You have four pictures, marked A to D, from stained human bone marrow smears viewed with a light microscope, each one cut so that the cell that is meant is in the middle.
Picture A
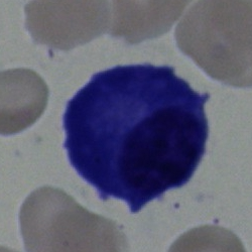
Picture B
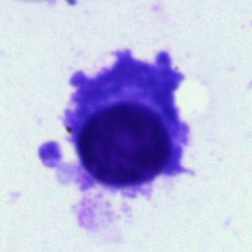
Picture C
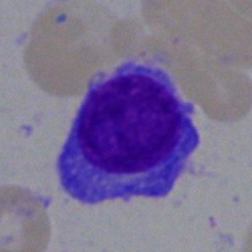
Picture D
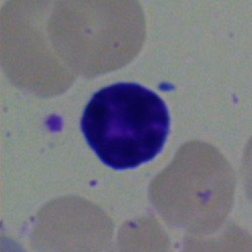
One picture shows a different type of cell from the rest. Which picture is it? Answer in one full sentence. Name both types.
All pictures except D show plasma cells; picture D shows a lymphocyte.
